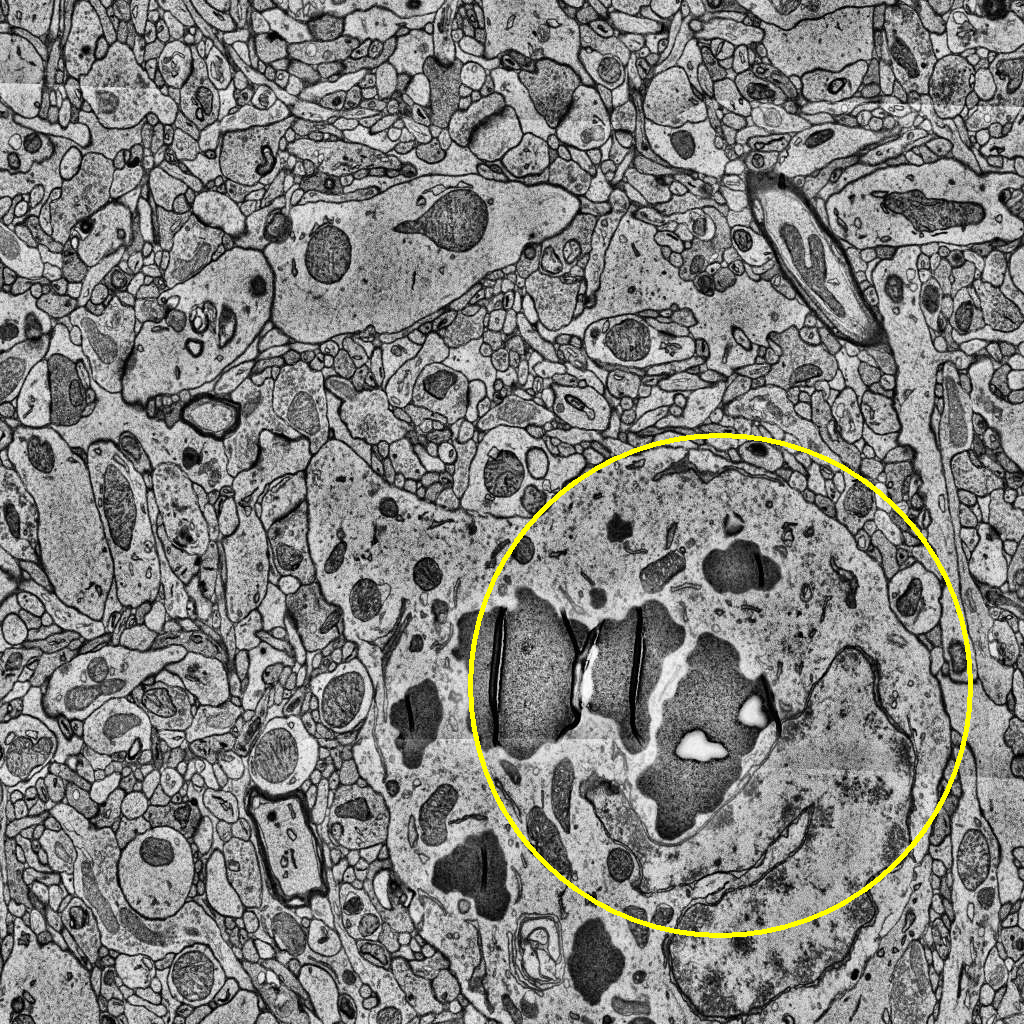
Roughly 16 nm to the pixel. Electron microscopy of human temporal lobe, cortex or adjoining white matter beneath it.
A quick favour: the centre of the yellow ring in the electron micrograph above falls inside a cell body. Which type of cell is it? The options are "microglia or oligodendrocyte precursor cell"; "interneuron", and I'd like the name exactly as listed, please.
interneuron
